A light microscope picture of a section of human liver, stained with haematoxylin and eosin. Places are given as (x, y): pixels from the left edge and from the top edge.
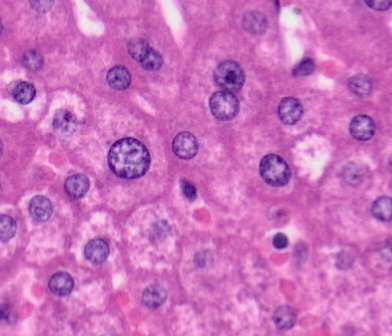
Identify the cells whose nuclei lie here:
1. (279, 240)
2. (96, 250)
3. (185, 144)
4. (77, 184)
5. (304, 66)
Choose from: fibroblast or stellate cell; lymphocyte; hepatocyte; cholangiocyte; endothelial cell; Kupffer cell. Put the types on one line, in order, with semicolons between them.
lymphocyte; hepatocyte; hepatocyte; hepatocyte; Kupffer cell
